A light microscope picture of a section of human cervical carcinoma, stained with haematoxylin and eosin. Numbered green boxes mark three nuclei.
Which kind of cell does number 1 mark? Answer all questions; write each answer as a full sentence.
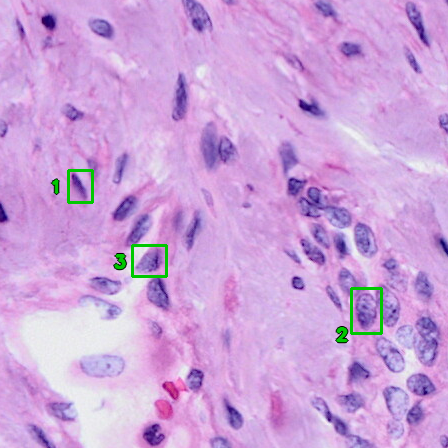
Belonging to a smooth muscle cell is the nucleus that carries the number 1.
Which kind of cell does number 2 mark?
Corresponding to an endothelial cell is the cell labelled 2.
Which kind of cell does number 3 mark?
Number 3 among the marked cells is an endothelial cell.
